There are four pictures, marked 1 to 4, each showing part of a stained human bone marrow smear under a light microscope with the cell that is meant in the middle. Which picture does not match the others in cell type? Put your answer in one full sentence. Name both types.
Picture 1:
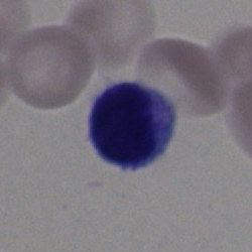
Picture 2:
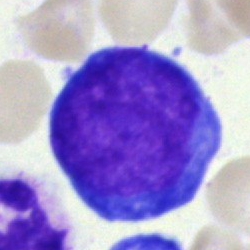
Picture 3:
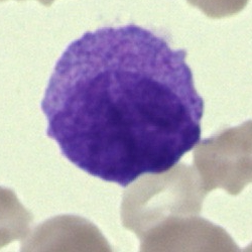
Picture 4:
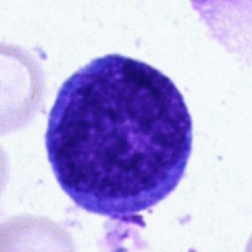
All pictures except 1 show blasts; picture 1 shows a lymphocyte.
